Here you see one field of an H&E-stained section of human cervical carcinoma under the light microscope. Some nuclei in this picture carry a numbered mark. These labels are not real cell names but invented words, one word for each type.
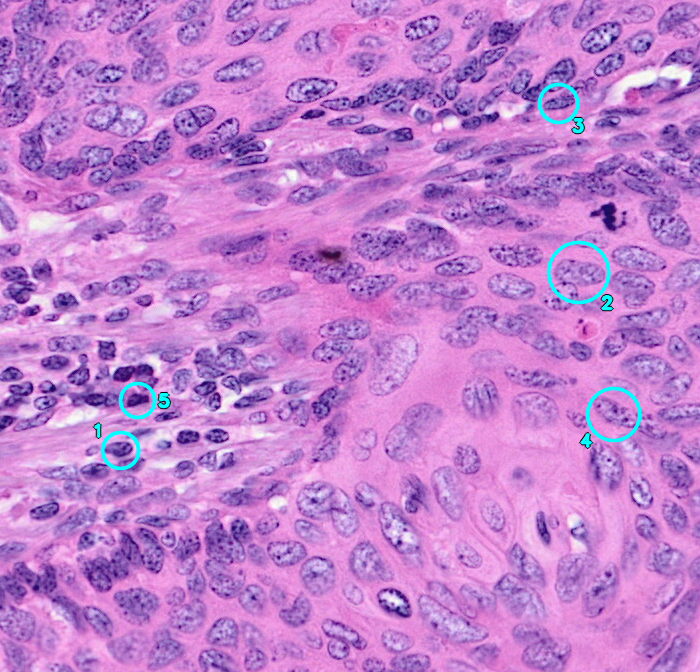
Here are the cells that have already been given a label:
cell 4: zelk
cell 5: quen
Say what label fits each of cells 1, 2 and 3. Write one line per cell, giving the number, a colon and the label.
1: quen
2: zelk
3: zelk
